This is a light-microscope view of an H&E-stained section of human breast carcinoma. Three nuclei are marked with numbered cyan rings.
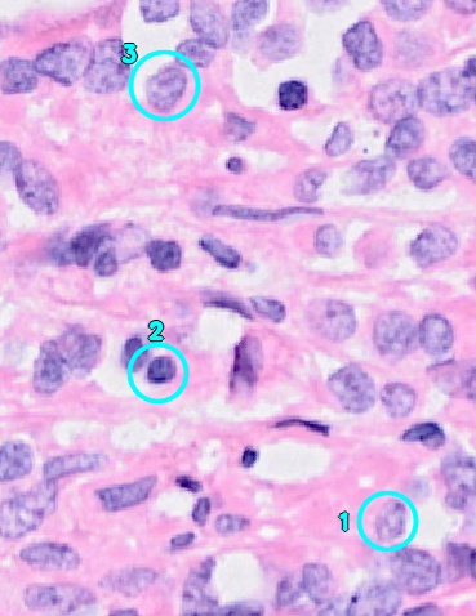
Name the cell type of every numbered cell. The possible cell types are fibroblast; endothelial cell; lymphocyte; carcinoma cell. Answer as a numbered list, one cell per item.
1. carcinoma cell
2. lymphocyte
3. carcinoma cell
